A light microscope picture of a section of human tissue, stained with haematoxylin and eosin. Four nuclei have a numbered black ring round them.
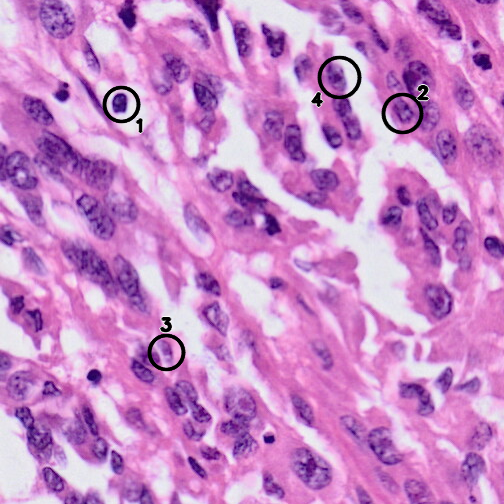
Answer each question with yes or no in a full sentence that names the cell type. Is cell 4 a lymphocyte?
No, what number 4 shows is a melanoma cell, not a lymphocyte.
